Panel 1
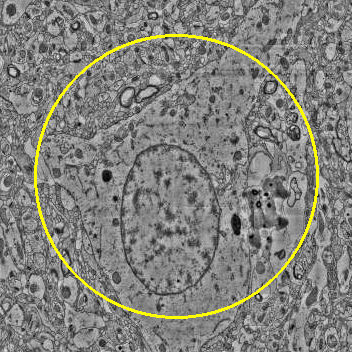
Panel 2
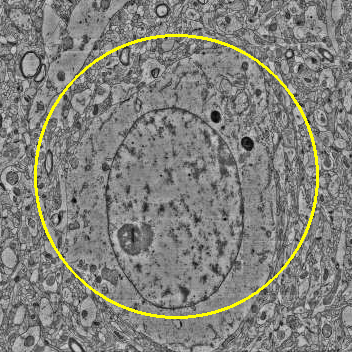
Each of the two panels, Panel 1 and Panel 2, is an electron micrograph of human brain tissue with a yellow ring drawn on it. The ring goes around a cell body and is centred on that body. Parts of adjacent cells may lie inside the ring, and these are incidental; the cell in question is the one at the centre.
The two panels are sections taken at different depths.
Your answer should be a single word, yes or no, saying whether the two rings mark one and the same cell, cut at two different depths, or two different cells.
yes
